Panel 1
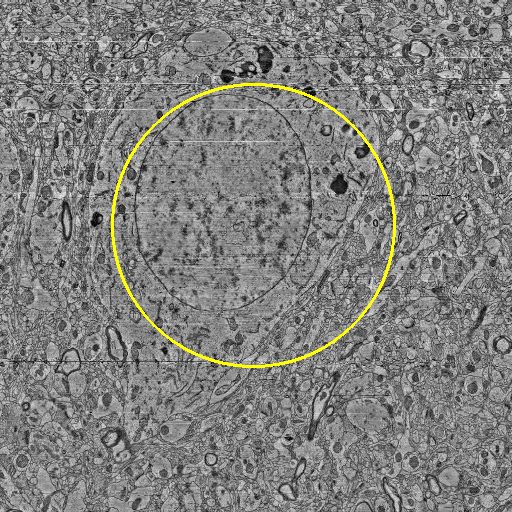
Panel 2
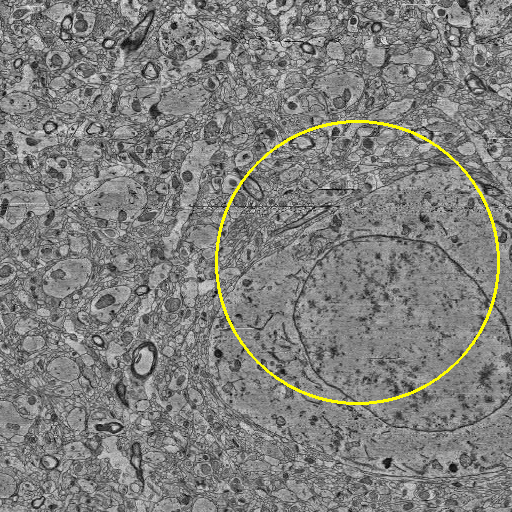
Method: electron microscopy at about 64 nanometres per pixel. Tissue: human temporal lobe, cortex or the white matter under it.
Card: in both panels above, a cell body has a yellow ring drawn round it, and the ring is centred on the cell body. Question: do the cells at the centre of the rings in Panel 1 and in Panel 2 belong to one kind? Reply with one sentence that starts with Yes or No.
Yes, the cells centred in the rings of Panel 1 and Panel 2 are one kind of cell.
